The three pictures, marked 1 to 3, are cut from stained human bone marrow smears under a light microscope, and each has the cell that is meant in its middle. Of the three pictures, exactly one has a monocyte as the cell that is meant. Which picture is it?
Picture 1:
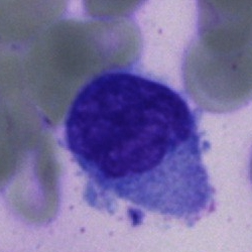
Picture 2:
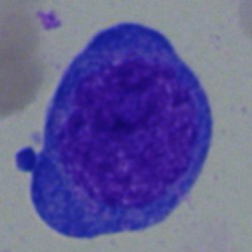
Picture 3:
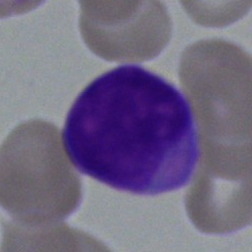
1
